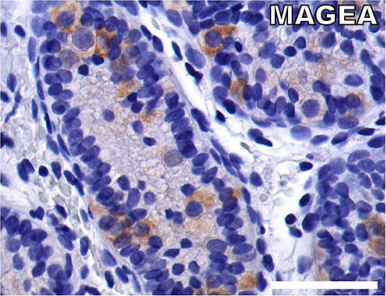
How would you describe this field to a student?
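Cross-sections of seminiferous tubules packed with cells, set in loose interstitial tissue with spindle-shaped nuclei. Inside the tubules, scattered large round germ cells with big round nuclei and pale cytoplasm show brown cytoplasmic staining, while the numerous smaller cells with dark blue oval nuclei, many lined up along the tubule rim, are unstained.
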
